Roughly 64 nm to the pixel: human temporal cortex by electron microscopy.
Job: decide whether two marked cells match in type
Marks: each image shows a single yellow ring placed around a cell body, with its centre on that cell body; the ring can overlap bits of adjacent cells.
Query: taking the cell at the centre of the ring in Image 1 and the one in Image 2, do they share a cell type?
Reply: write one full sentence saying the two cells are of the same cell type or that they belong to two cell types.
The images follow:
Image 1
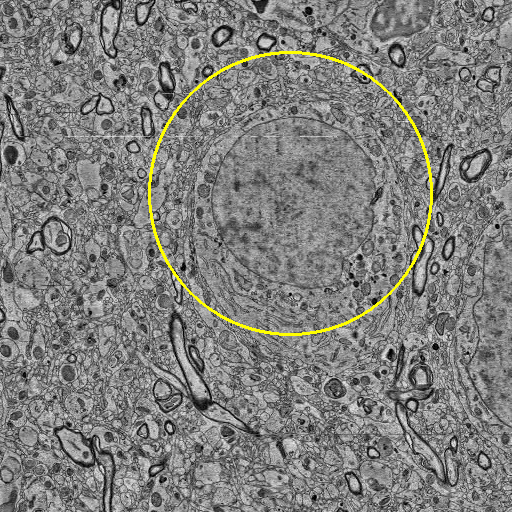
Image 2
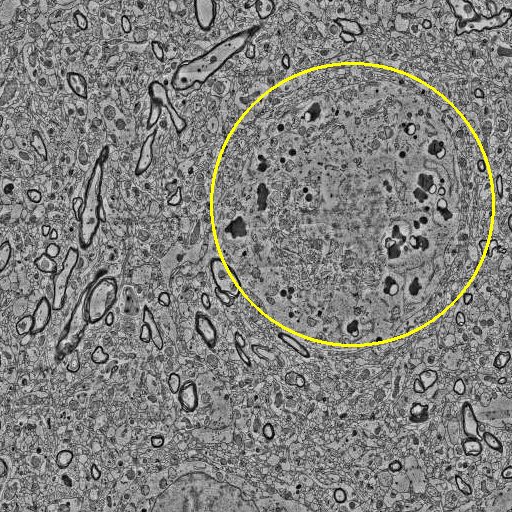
The cells at the ring centres in Image 1 and Image 2 belong to two cell types.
